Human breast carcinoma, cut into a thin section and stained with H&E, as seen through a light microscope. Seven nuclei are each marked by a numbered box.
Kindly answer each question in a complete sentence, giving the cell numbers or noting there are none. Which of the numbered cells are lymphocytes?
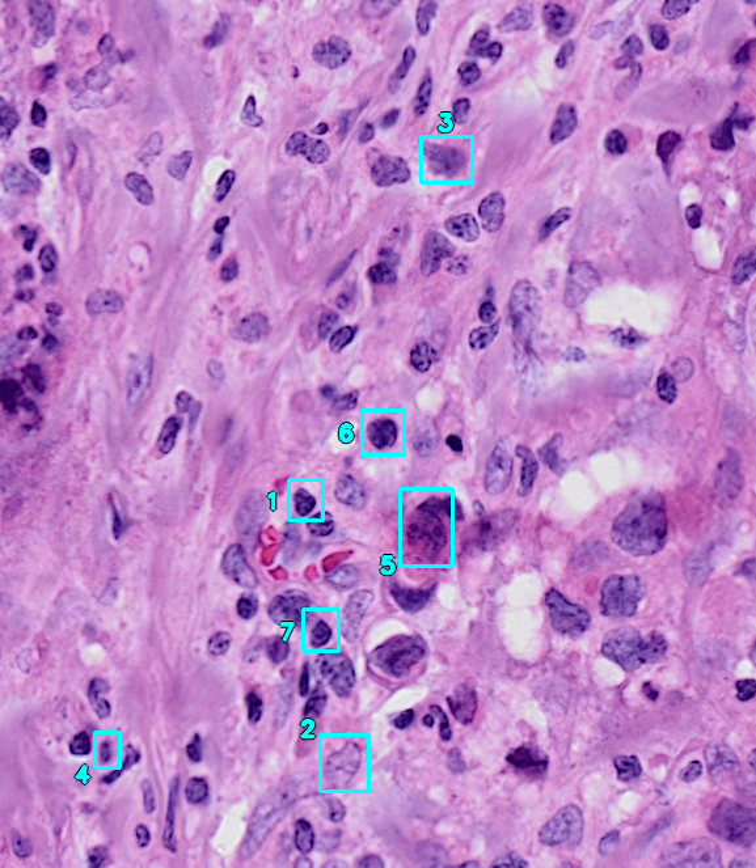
The cells marked by the numbers 1, 4, 6 and 7 are lymphocytes.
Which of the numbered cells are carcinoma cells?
Of the marked cells, the one numbered 5 is a carcinoma cell and the rest are not.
